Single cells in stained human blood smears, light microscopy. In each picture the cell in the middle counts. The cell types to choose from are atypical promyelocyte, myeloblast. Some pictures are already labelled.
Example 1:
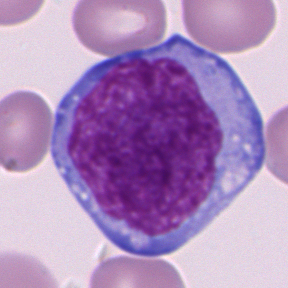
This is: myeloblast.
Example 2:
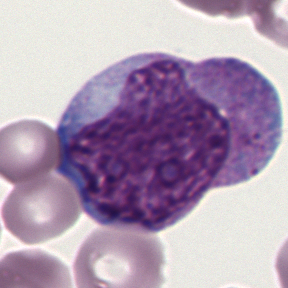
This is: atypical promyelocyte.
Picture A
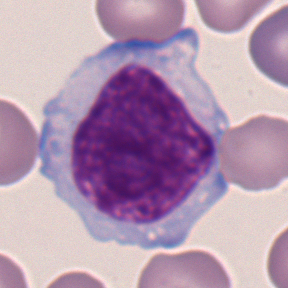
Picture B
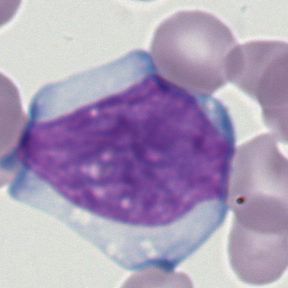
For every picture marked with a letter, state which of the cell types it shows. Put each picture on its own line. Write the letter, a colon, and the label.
A: myeloblast.
B: myeloblast.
